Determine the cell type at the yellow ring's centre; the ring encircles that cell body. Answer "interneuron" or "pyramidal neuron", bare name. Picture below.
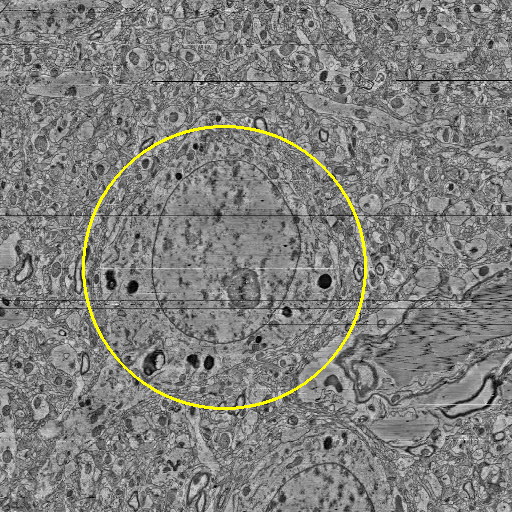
pyramidal neuron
